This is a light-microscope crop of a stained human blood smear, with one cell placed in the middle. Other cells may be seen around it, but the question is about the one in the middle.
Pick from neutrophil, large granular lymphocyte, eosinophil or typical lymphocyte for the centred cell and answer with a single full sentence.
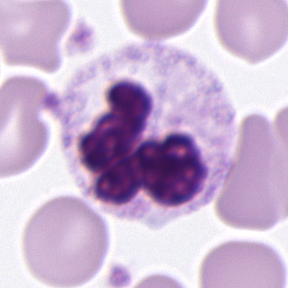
Answering briefly, the cell in the middle is a neutrophil.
